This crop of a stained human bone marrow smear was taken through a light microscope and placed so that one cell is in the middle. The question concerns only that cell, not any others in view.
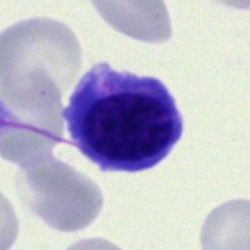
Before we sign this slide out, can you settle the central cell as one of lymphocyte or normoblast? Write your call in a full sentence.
Centrally within this crop lies a normoblast.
